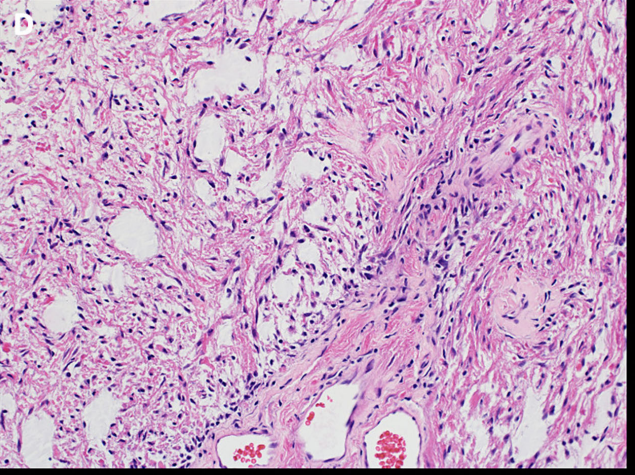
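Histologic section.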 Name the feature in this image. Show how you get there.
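The left part is loose with many clear spaces between thin pink fibres. The right part is denser, with closely packed spindle cells in bundles.
Answer: alternating loose and more compact architecture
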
